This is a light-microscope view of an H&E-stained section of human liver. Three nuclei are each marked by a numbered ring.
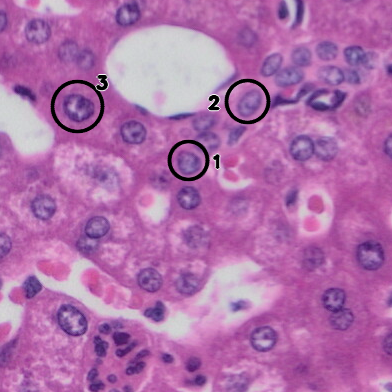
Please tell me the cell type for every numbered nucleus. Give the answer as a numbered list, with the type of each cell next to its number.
1. cholangiocyte
2. cholangiocyte
3. hepatocyte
